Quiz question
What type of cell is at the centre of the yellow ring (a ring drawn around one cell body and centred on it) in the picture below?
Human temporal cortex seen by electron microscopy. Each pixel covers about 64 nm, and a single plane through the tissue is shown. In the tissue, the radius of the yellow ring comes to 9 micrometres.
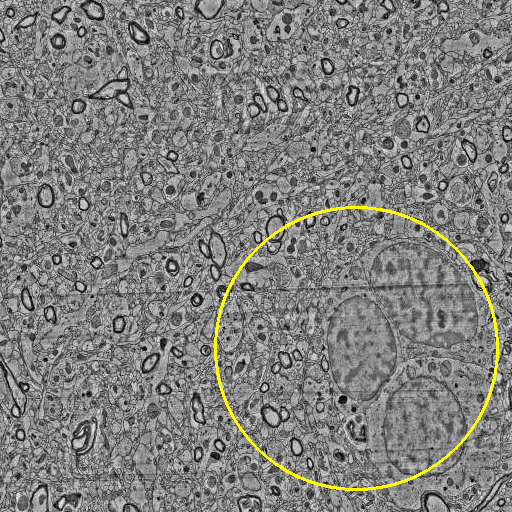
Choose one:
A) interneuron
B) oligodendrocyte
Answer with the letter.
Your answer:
B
